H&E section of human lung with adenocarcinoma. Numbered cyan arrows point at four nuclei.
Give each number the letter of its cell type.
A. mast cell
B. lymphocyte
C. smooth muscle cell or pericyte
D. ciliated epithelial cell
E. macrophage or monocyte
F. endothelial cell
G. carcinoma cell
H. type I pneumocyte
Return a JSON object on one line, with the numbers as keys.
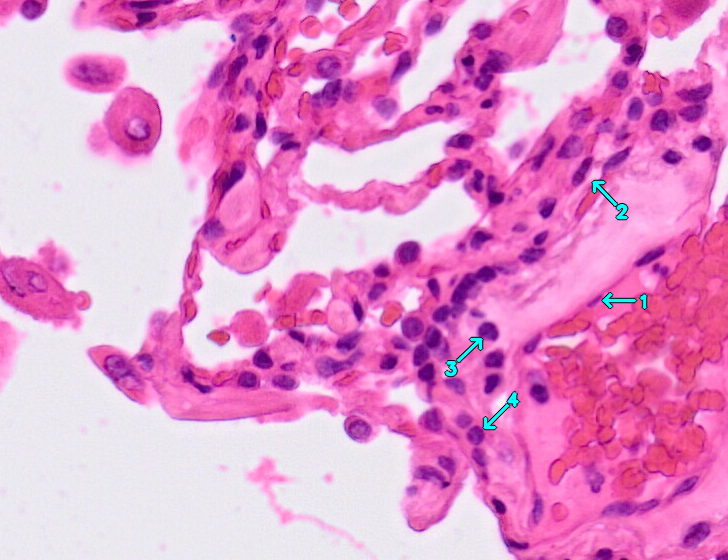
{"1": "F", "2": "F", "3": "B", "4": "A"}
